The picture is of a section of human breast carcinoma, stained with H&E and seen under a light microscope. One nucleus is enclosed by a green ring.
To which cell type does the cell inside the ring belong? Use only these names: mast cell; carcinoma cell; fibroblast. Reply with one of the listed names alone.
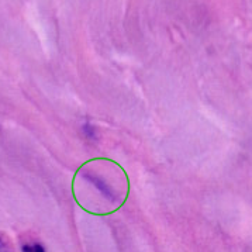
fibroblast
